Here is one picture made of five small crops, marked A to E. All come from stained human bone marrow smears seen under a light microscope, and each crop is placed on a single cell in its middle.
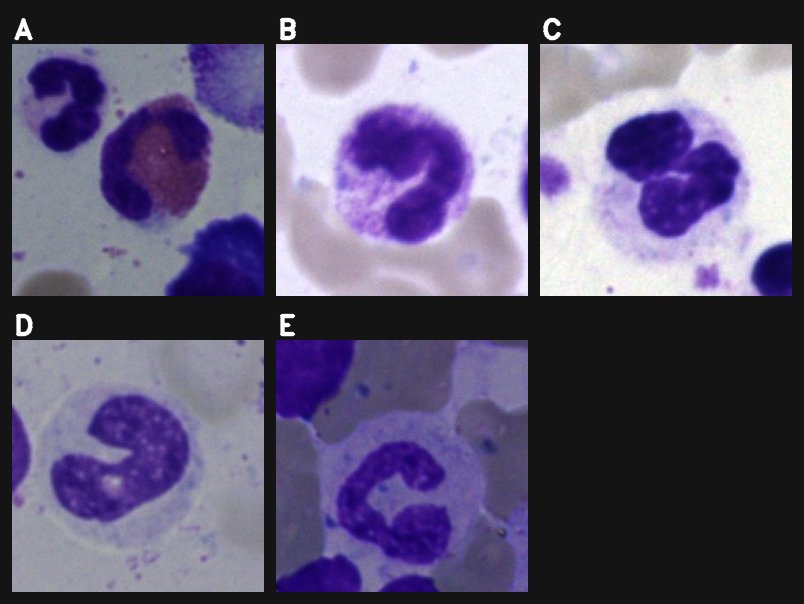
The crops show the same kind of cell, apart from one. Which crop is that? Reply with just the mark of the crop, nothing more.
A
